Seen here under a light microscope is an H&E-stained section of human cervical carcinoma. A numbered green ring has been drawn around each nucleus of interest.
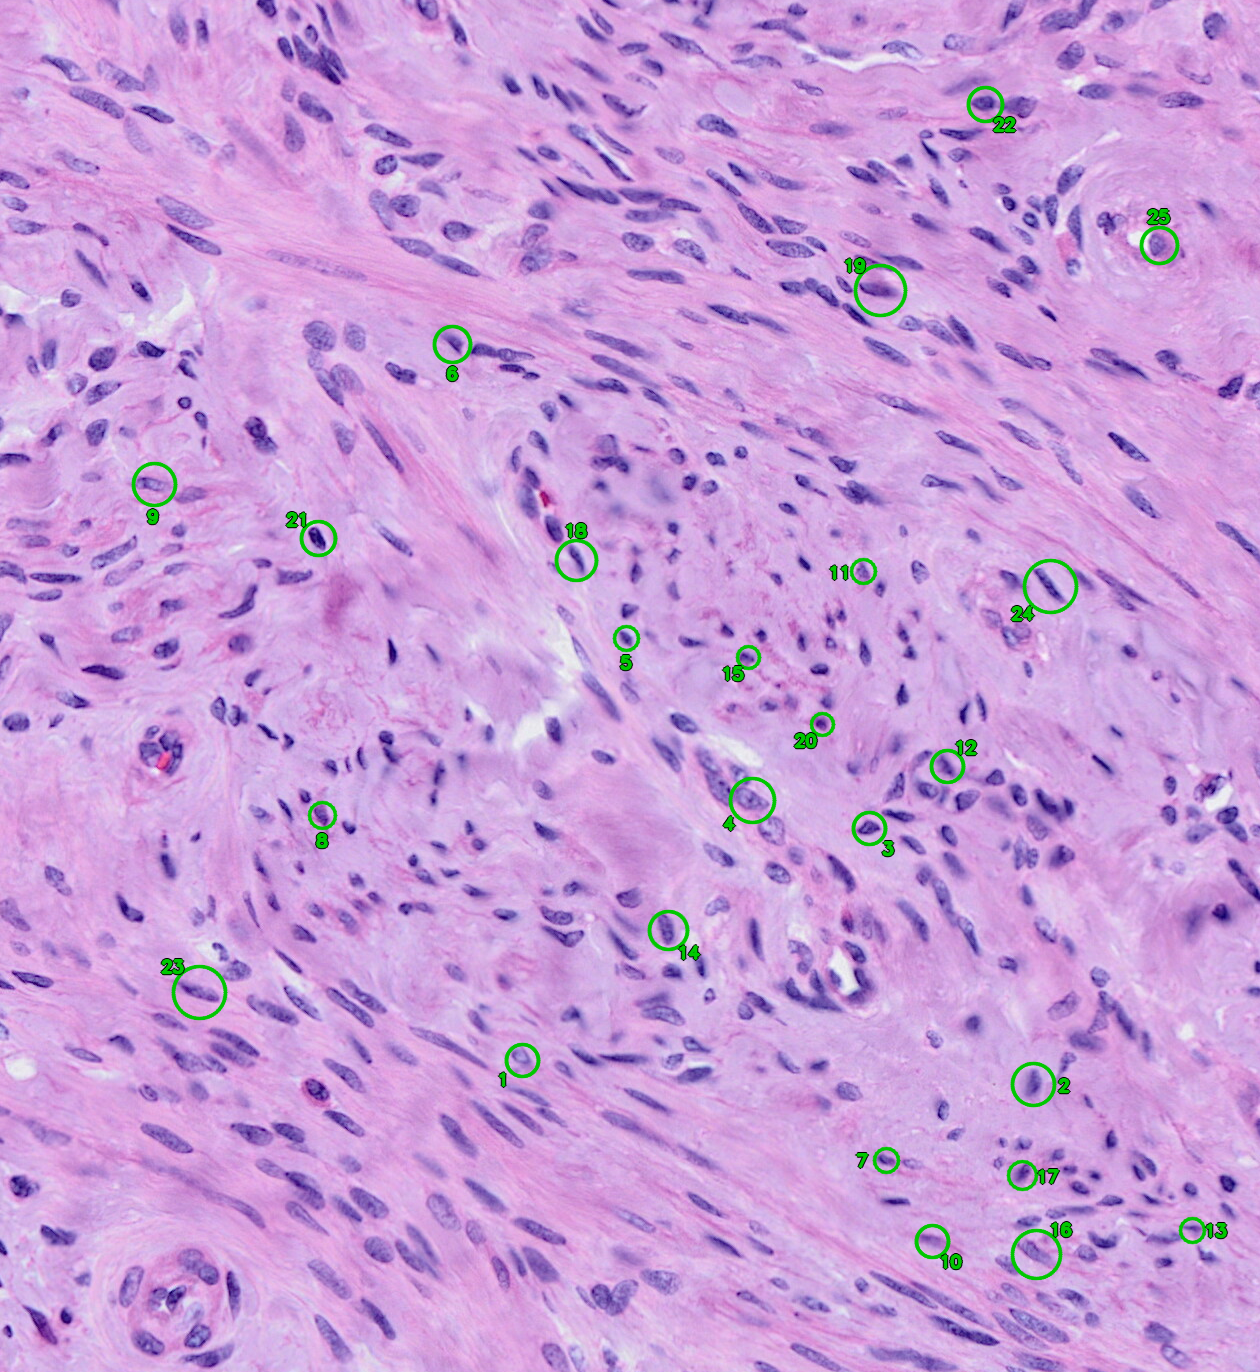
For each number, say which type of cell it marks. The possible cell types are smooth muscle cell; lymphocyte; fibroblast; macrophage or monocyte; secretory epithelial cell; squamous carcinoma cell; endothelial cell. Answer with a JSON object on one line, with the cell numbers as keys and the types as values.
{"1": "smooth muscle cell", "2": "fibroblast", "3": "fibroblast", "4": "endothelial cell", "5": "fibroblast", "6": "fibroblast", "7": "smooth muscle cell", "8": "smooth muscle cell", "9": "smooth muscle cell", "10": "smooth muscle cell", "11": "smooth muscle cell", "12": "fibroblast", "13": "fibroblast", "14": "fibroblast", "15": "smooth muscle cell", "16": "smooth muscle cell", "17": "smooth muscle cell", "18": "fibroblast", "19": "fibroblast", "20": "smooth muscle cell", "21": "lymphocyte", "22": "fibroblast", "23": "fibroblast", "24": "fibroblast", "25": "endothelial cell"}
